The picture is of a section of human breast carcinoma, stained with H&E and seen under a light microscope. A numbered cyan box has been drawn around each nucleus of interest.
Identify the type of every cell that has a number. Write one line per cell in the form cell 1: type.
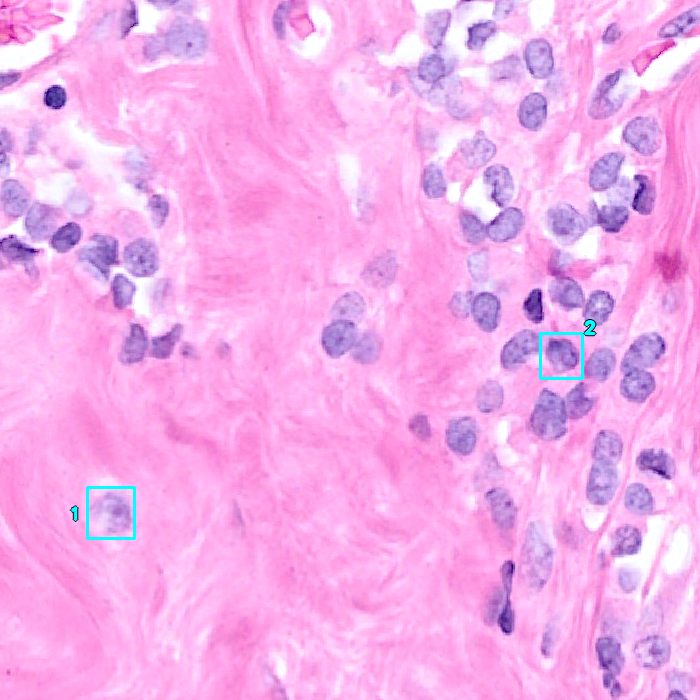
cell 1: fibroblast
cell 2: carcinoma cell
